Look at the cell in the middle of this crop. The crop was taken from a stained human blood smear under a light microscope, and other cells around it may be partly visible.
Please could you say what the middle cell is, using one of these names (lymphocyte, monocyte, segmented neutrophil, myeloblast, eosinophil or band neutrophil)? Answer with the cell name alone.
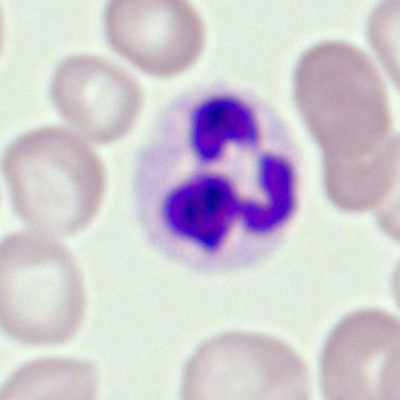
segmented neutrophil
